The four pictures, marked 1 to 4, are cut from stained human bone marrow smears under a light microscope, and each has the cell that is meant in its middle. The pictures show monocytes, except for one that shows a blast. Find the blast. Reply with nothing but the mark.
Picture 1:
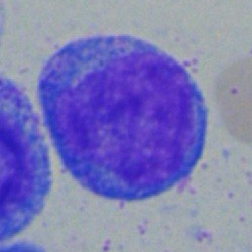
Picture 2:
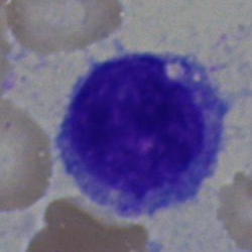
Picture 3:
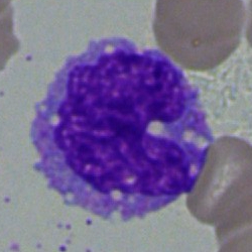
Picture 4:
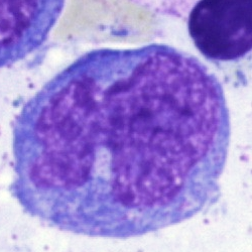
1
